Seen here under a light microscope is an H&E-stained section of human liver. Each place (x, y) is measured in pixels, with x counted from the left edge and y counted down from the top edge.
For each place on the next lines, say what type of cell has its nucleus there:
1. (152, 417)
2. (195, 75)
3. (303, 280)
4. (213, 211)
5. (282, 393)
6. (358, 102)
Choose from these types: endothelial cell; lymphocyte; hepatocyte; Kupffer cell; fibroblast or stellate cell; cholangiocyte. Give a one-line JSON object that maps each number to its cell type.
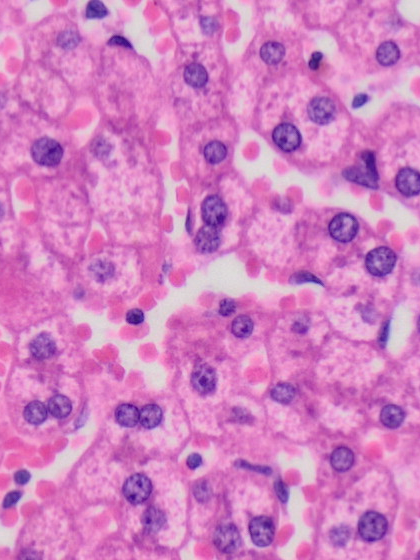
{"1": "hepatocyte", "2": "hepatocyte", "3": "endothelial cell", "4": "hepatocyte", "5": "hepatocyte", "6": "lymphocyte"}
